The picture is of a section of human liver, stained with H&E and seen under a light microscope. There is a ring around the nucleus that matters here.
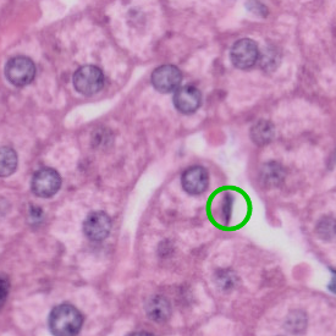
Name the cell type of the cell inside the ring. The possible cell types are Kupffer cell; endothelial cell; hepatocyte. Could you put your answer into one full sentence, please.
It is as an endothelial cell that the cell inside the ring is recorded.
